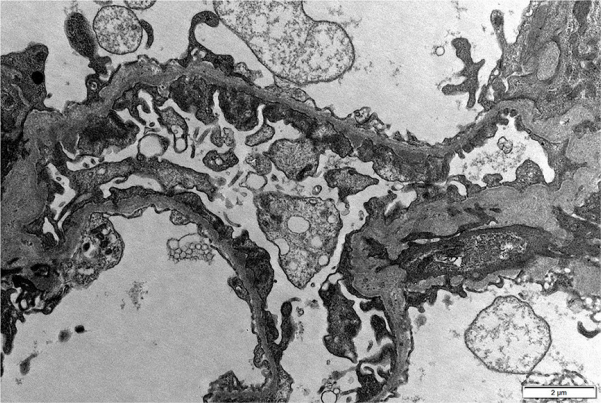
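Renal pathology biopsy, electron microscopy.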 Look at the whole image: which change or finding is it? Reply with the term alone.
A: Foot process fusion.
